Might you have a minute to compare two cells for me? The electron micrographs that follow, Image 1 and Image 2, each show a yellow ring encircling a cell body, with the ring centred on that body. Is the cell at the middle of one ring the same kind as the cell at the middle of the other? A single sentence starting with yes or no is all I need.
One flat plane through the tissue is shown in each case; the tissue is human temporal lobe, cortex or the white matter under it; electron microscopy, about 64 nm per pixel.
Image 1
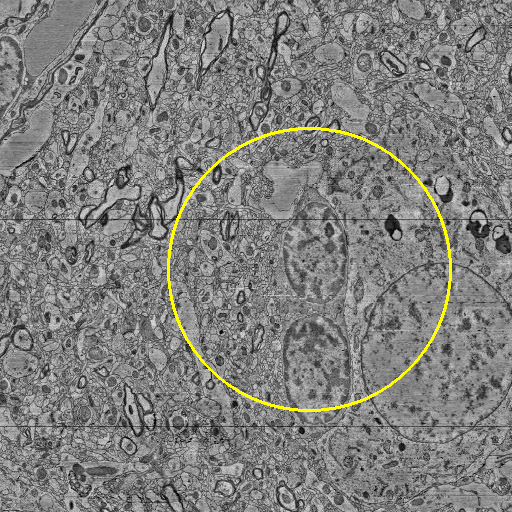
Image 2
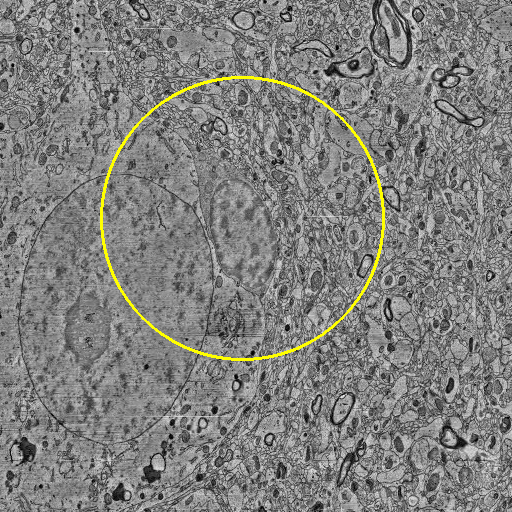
Yes, the cells in the middle of the two rings are of one shared kind.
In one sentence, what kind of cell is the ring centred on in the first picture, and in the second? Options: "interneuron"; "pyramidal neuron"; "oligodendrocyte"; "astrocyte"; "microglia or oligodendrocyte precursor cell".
The cell at the ring centre is an oligodendrocyte in both pictures.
